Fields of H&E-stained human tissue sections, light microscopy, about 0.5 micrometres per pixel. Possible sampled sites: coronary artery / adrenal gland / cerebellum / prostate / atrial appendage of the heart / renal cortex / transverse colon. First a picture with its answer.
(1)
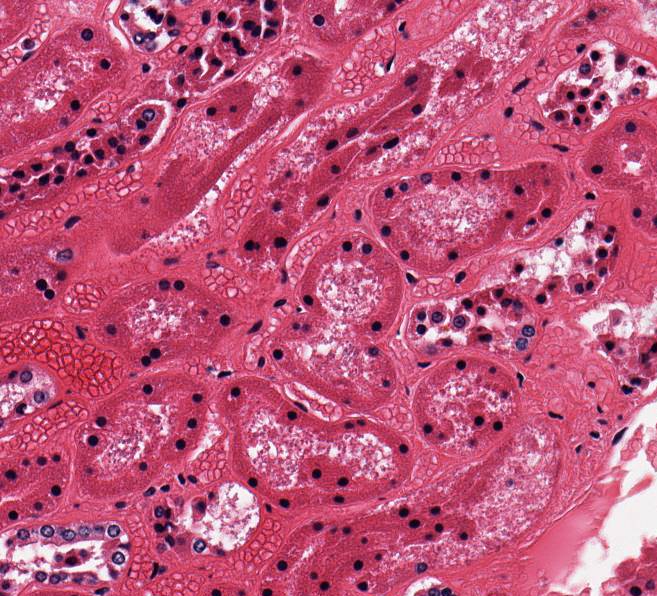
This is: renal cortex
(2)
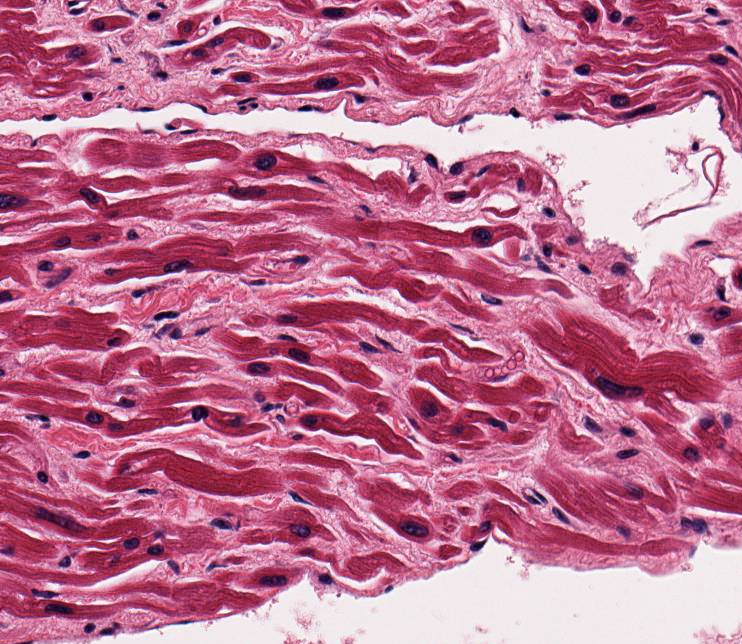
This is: atrial appendage of the heart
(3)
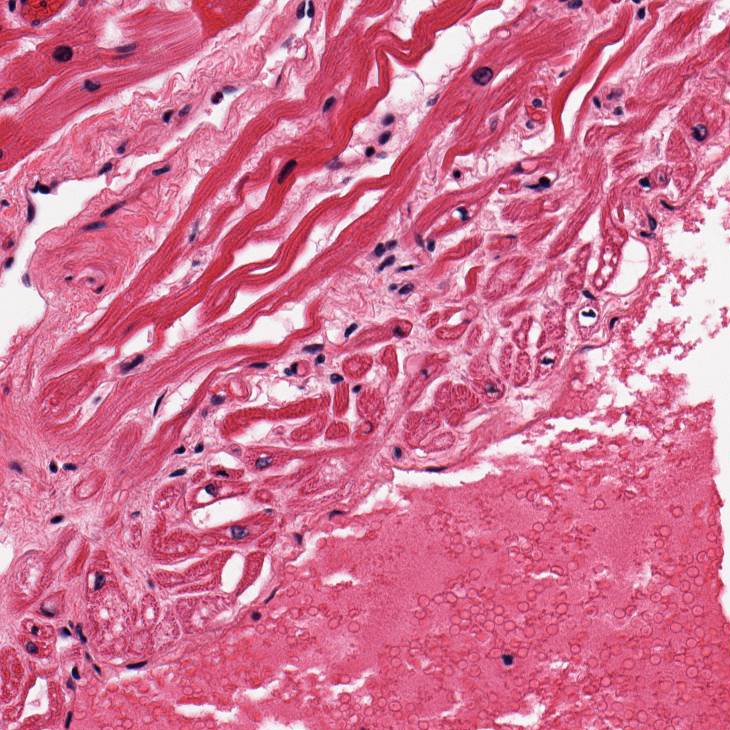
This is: atrial appendage of the heart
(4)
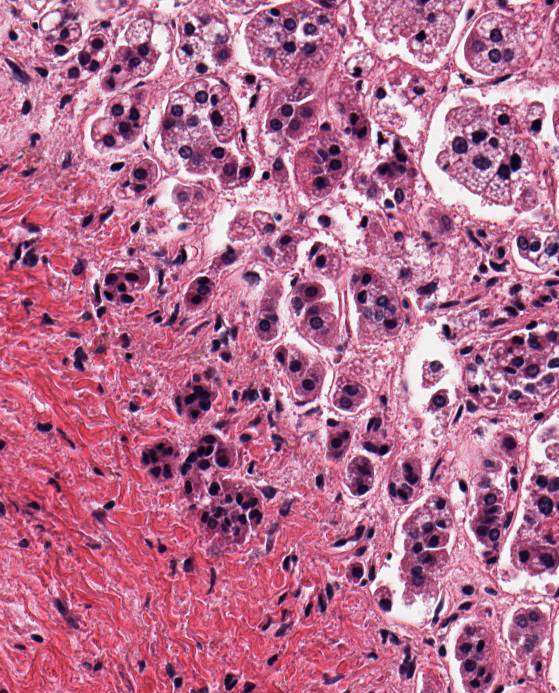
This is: adrenal gland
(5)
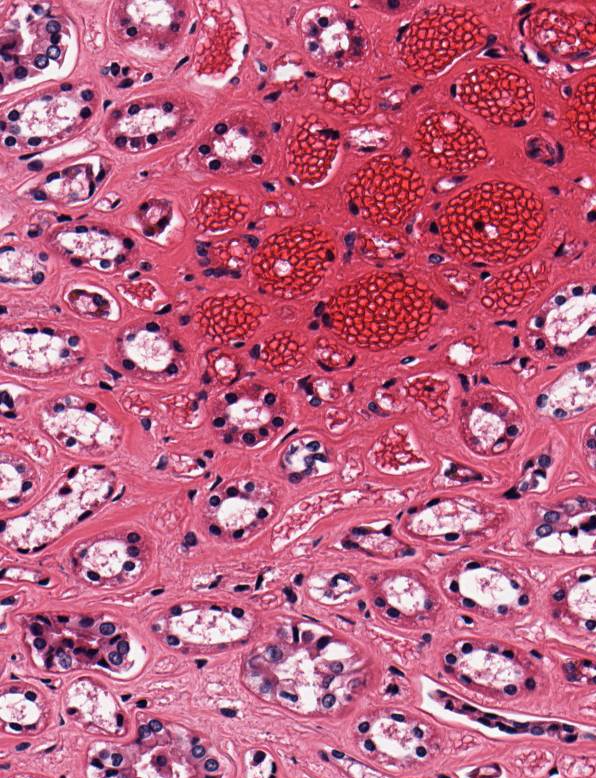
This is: renal cortex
